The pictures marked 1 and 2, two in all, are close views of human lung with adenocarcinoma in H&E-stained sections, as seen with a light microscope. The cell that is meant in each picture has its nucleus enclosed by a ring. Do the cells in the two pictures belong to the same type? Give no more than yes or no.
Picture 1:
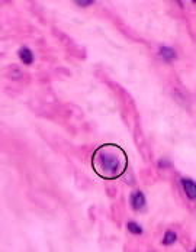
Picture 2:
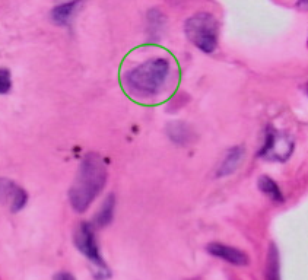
no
